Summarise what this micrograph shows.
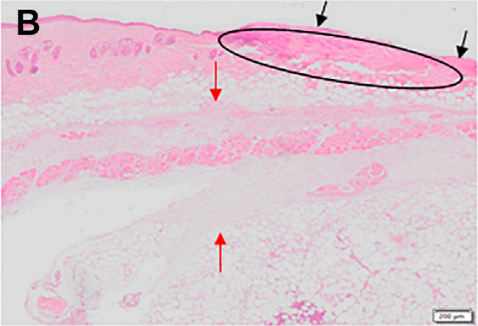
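This is a section of skin in which the surface layer is interrupted and the upper dermis is partly replaced by granulation tissue. Over a long stretch near the surface, the regular dermis with its hair follicles gives way to a disorganised pink zone. Below it lies a band of pale fat cells, followed by thin pink strands of muscle. The deeper connective tissue is widened, pale and loosely textured, as is typical of edema.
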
